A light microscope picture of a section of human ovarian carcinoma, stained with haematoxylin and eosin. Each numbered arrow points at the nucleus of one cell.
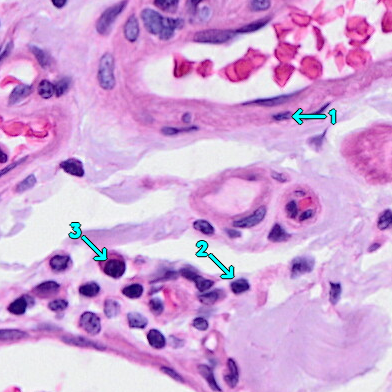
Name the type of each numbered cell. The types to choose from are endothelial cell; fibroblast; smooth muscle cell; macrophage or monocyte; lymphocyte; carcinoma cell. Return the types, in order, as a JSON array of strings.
["smooth muscle cell", "lymphocyte", "lymphocyte"]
